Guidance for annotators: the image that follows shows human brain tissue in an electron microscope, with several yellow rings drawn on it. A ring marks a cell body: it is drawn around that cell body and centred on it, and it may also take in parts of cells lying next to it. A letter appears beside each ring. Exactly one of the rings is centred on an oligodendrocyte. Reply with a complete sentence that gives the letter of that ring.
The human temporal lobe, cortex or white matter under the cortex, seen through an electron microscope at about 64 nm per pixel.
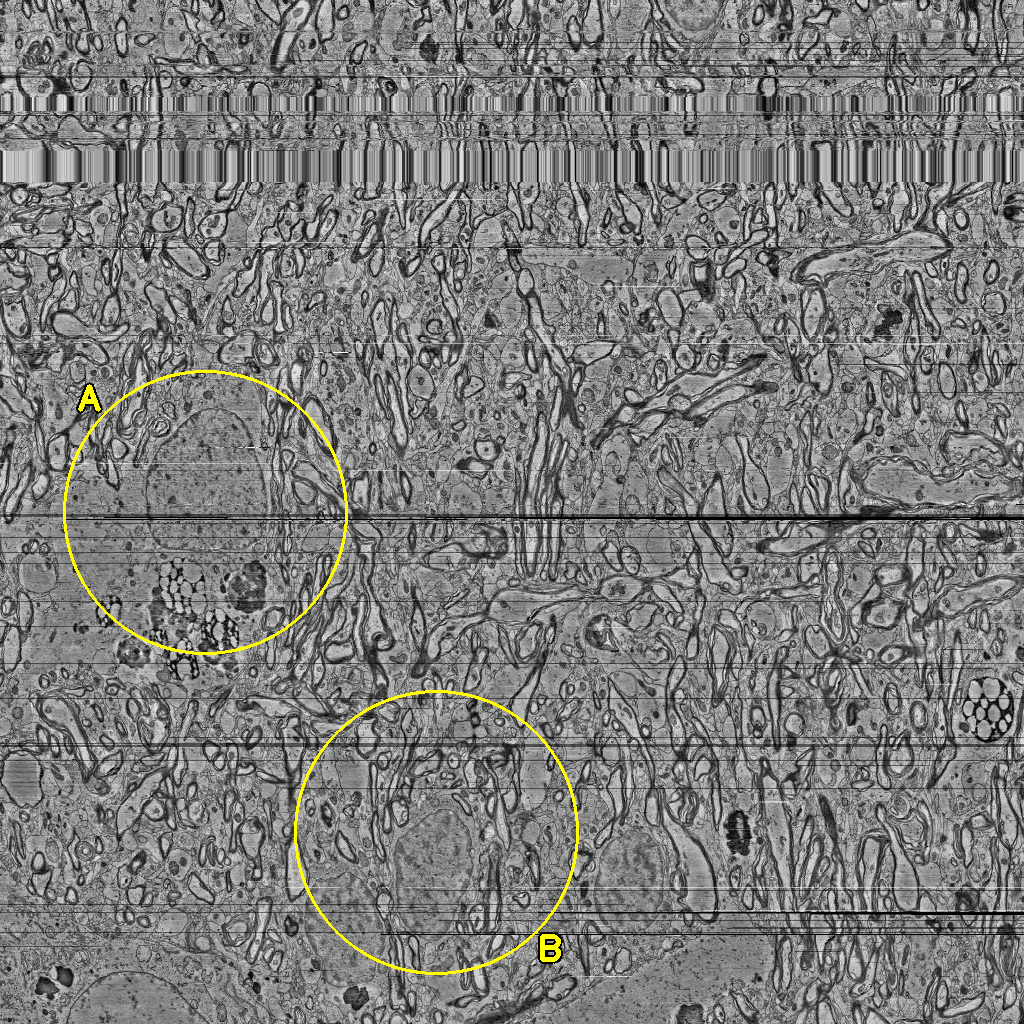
The ring lettered B is centred on that cell.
